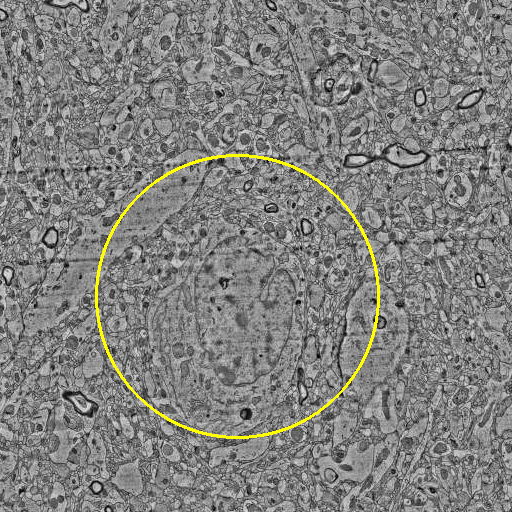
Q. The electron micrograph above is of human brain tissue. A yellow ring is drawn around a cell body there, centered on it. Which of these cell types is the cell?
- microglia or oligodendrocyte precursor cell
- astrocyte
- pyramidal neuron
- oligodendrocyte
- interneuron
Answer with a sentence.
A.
The cell under the ring's center is an interneuron.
